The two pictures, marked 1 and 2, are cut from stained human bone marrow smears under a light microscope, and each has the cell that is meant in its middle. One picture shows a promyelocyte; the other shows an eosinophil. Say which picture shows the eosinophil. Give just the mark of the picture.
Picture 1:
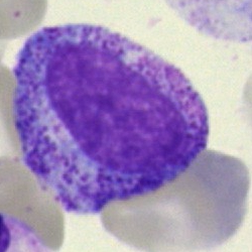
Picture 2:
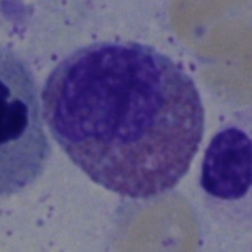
2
